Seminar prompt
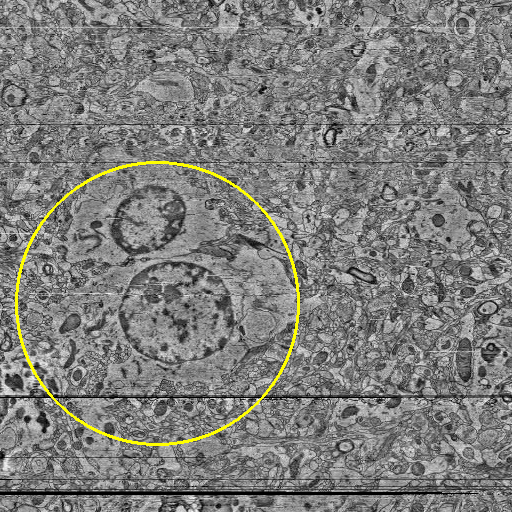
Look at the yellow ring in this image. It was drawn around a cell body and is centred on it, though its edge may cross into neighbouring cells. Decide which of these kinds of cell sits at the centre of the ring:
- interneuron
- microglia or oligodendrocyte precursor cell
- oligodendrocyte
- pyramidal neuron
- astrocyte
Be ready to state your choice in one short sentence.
The kind of cell at the ring's centre is an astrocyte.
